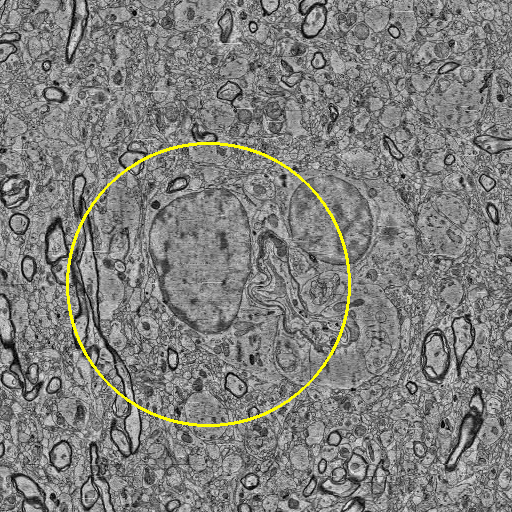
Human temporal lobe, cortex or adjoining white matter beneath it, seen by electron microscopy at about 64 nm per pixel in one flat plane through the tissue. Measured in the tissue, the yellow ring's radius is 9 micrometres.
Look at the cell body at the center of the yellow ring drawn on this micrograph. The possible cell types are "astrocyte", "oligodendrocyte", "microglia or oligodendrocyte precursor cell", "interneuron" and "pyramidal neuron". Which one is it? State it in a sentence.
The cell in the middle of the ring is a microglial cell or oligodendrocyte precursor cell.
